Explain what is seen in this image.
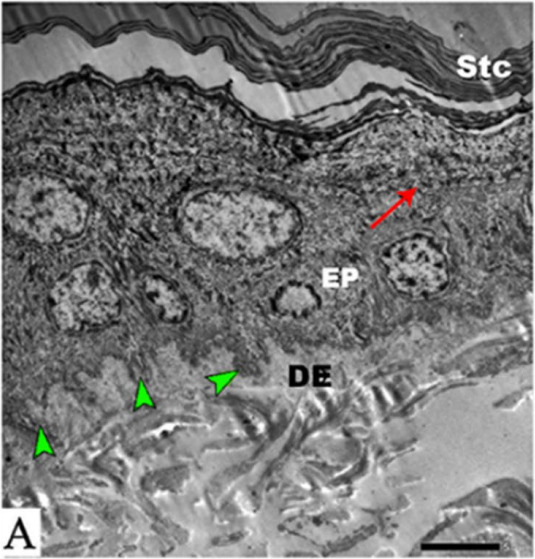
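This electron micrograph shows the epidermis of skin resting on the dermis, with several layers of epithelial cells between a wavy cornified layer above and fibrous connective tissue below. The uppermost layer is made of thin, stacked, wavy lamellae without nuclei. Beneath it the cells contain large oval to round nuclei with scattered chromatin, and the upper cells have dark granular material in their cytoplasm. The lowest cells send finger-like projections down into the dermis, giving the junction an irregular, interlocking outline. Below the epidermis the dermis contains bundles of fibres cut in various directions, separated by pale spaces.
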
